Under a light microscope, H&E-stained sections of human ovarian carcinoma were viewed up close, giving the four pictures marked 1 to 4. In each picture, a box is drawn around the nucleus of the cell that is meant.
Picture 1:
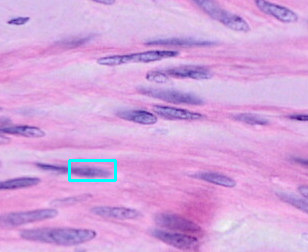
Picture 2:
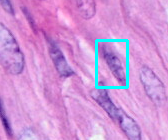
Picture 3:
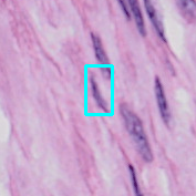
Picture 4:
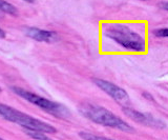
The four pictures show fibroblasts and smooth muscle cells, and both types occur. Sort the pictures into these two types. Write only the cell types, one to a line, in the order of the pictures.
smooth muscle cell
fibroblast
fibroblast
smooth muscle cell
